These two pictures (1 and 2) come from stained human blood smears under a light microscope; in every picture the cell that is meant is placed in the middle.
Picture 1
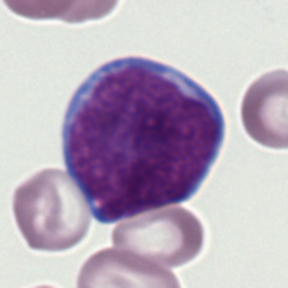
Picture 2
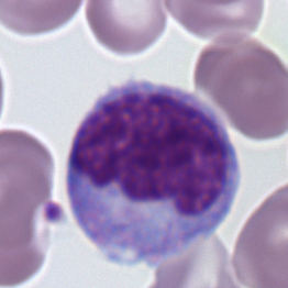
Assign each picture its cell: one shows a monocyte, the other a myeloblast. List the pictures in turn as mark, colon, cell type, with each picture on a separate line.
1: myeloblast
2: monocyte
